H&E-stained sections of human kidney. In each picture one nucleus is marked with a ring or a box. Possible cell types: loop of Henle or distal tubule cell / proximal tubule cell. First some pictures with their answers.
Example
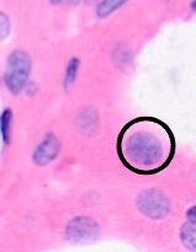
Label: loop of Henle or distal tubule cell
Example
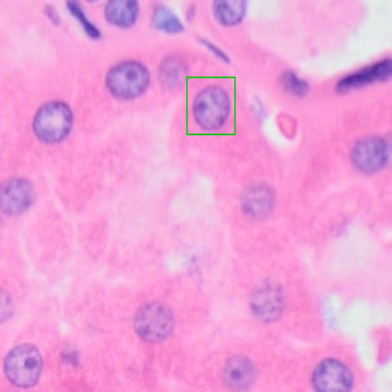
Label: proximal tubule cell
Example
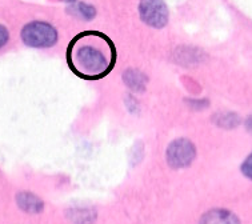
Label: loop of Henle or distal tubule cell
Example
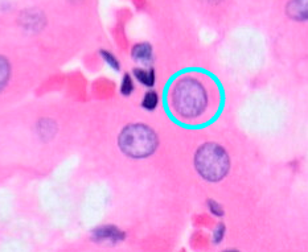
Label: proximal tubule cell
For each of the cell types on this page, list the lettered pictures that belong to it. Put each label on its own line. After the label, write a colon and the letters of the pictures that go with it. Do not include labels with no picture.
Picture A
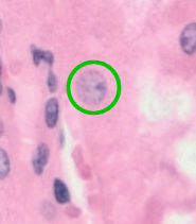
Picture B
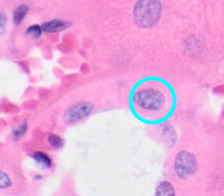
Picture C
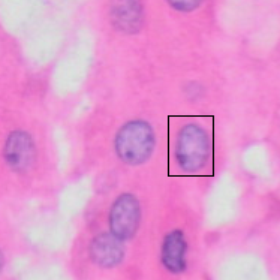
loop of Henle or distal tubule cell: B
proximal tubule cell: A, C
